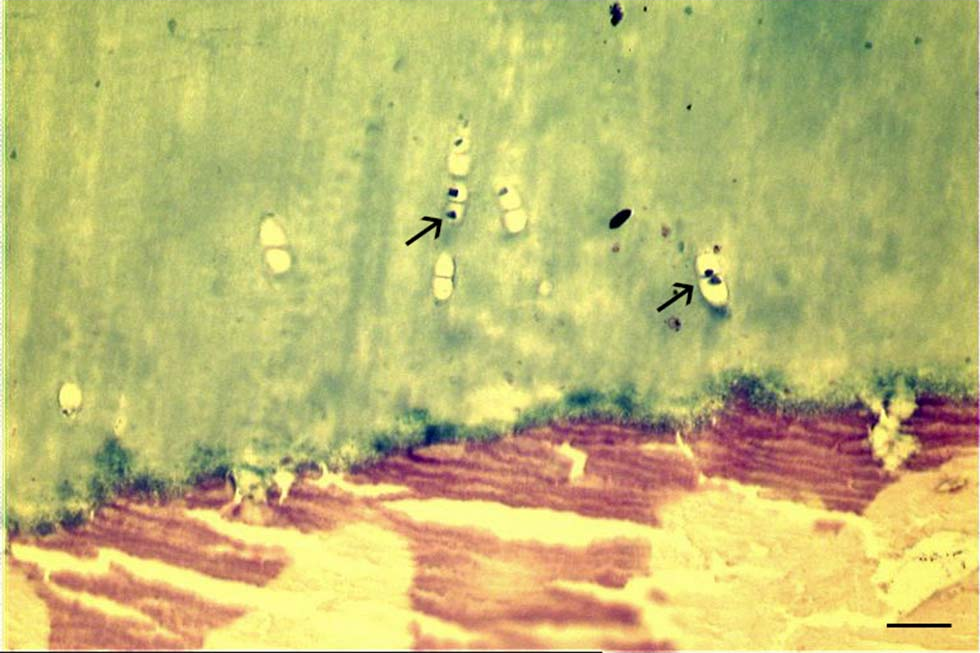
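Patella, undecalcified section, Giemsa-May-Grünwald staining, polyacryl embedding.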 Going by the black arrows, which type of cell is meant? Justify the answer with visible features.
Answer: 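The arrows point to cells lying in pale oval lacunae within a homogeneous greenish matrix. Several lacunae hold cells in pairs, one above the other. That points to this answer: chondrocytes.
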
